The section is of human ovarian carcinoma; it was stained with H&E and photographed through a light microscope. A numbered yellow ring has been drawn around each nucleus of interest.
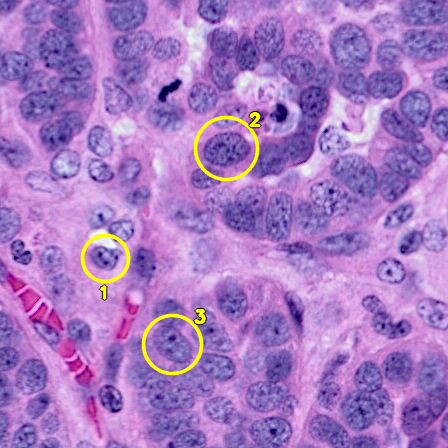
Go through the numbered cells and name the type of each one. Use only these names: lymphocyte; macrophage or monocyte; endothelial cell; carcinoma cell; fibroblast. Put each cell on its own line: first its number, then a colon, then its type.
1: macrophage or monocyte
2: carcinoma cell
3: carcinoma cell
